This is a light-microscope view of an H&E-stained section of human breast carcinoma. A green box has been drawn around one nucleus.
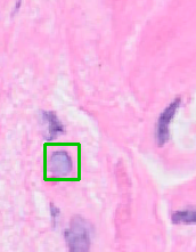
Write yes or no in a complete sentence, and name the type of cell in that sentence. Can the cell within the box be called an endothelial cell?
Yes, the cell within the box corresponds to an endothelial cell in this tissue.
